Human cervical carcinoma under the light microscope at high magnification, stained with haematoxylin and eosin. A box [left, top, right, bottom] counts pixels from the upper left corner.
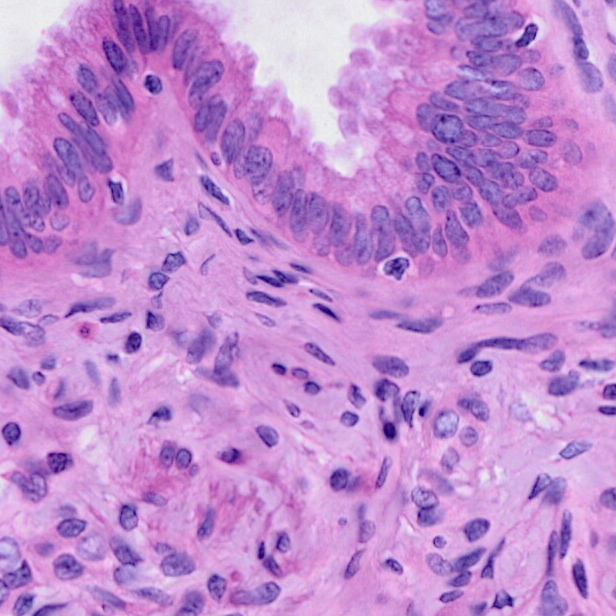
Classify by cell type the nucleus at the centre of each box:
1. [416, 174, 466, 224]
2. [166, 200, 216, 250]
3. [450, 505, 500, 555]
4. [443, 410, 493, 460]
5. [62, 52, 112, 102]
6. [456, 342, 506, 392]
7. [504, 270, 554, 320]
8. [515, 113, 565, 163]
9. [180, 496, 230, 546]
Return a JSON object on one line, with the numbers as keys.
{"1": "secretory epithelial cell", "2": "fibroblast", "3": "fibroblast", "4": "endothelial cell", "5": "secretory epithelial cell", "6": "fibroblast", "7": "fibroblast", "8": "secretory epithelial cell", "9": "smooth muscle cell"}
